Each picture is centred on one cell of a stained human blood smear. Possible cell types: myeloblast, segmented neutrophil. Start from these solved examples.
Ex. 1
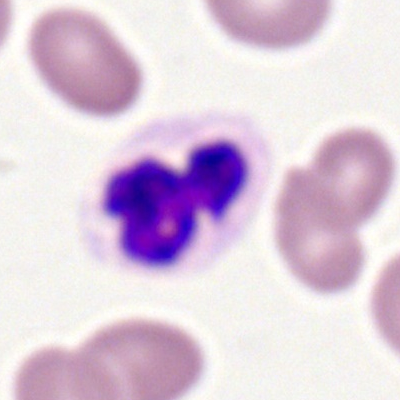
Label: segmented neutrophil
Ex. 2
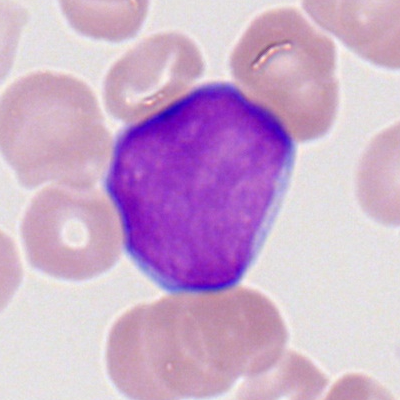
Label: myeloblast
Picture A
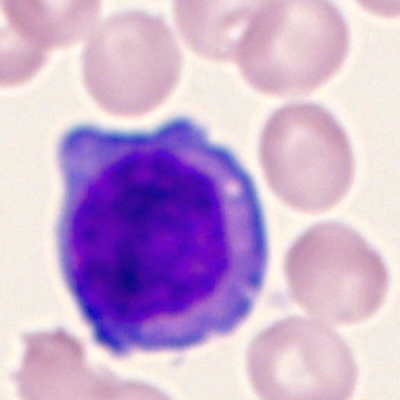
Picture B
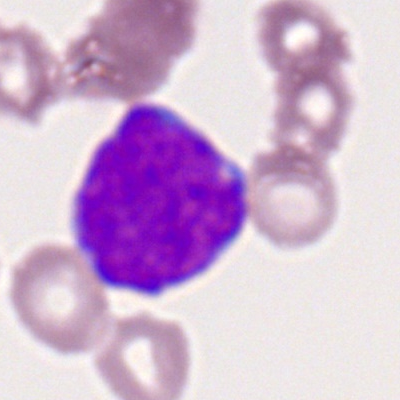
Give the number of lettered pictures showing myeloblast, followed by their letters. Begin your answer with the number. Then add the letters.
Count: 2 (A, B)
